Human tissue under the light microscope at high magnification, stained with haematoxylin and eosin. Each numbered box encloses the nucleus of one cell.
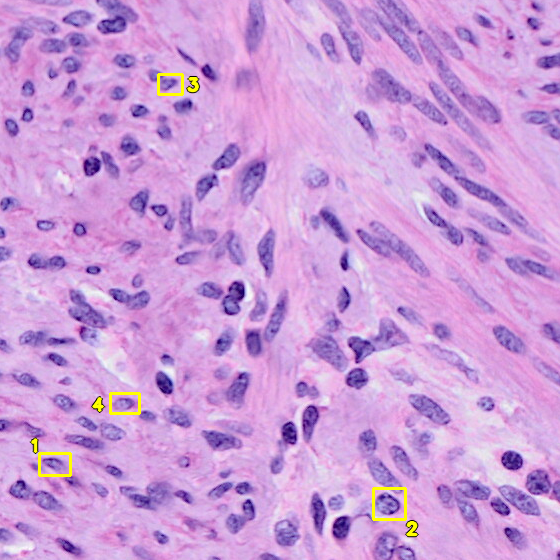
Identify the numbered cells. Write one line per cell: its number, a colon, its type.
1: smooth muscle cell
2: lymphocyte
3: smooth muscle cell
4: smooth muscle cell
